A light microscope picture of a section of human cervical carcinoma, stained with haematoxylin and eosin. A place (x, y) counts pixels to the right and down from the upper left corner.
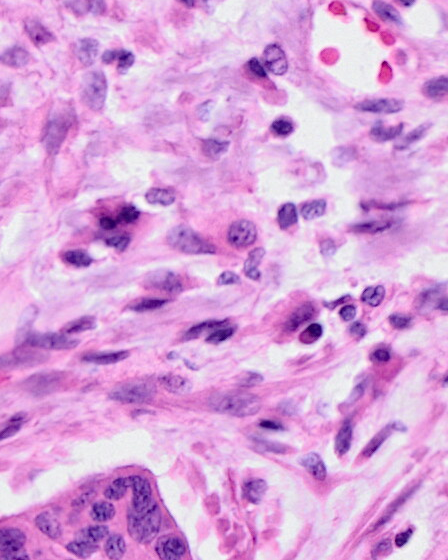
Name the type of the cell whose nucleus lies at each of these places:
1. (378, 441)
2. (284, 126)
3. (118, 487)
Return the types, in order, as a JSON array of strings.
["fibroblast", "lymphocyte", "squamous carcinoma cell"]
